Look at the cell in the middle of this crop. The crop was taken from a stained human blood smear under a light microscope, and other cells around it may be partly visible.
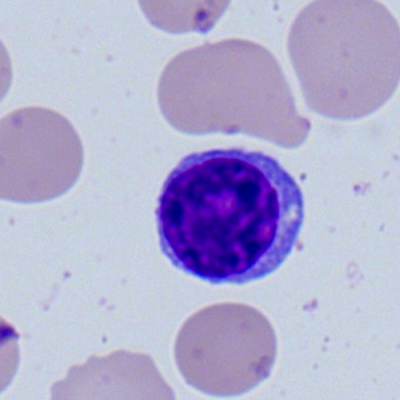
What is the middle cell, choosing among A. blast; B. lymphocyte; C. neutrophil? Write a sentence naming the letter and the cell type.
Here the right option is B, as the cell in the middle is a lymphocyte.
